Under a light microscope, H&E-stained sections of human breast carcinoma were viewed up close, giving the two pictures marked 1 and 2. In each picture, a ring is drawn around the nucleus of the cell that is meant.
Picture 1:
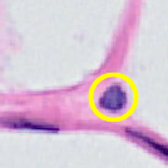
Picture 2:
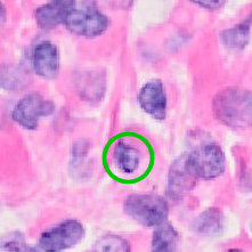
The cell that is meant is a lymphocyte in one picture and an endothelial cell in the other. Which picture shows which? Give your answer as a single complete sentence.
It is picture 1 that shows a lymphocyte, and picture 2 that shows an endothelial cell.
